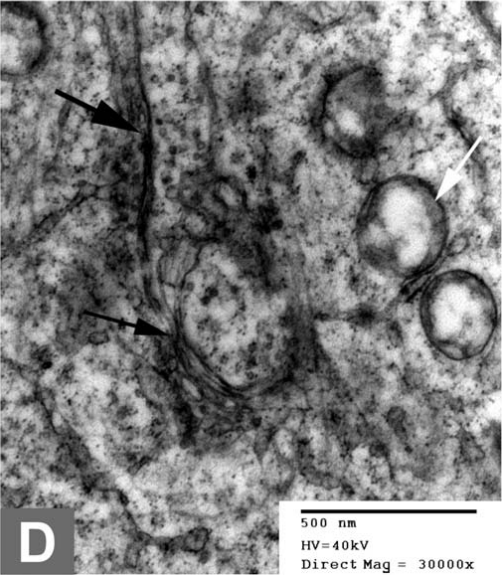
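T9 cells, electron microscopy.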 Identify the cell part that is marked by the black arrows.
Endoplasmic reticulum.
